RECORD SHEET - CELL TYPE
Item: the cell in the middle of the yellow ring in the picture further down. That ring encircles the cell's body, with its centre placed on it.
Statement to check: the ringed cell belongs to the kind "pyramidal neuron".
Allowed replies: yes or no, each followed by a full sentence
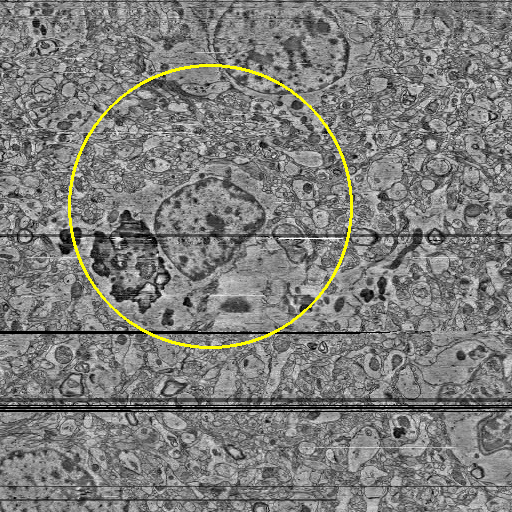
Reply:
No, the cell held at the centre of the ring in the picture is of a different kind.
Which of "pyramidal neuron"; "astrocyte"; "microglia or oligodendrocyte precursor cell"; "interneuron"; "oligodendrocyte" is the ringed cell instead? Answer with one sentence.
Here, the ring is centred on an astrocyte instead.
